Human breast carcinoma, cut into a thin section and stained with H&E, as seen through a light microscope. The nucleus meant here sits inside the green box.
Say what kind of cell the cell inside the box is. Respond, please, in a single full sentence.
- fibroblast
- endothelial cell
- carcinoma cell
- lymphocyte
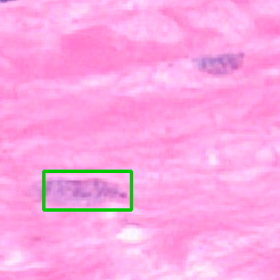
By cell type, the cell inside the box is a fibroblast.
